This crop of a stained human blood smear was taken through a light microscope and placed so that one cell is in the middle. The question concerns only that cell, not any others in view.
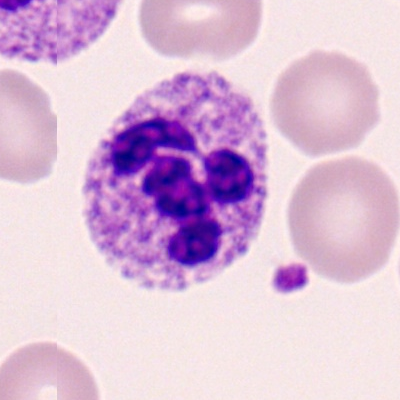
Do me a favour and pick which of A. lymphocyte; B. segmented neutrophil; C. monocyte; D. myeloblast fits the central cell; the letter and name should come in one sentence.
What option B states is correct, the central cell being a segmented neutrophil.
